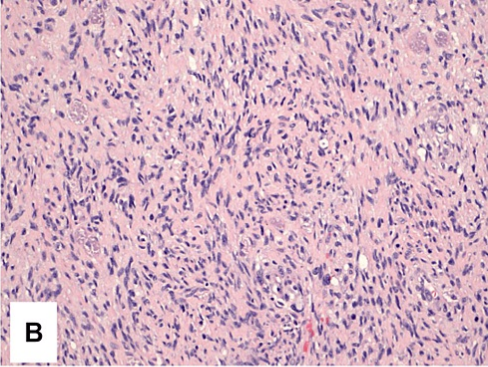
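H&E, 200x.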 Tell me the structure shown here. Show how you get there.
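Wavy and intersected fascicles. Spindle cells with elongated, slightly wavy nuclei. Bundles of cells run in different directions and cross one another. Cell density varies from area to area.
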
